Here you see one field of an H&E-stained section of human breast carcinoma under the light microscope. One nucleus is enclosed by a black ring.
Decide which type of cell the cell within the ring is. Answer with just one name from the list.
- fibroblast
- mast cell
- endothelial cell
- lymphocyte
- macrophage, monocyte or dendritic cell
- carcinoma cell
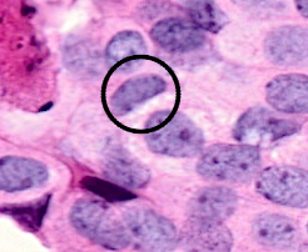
carcinoma cell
